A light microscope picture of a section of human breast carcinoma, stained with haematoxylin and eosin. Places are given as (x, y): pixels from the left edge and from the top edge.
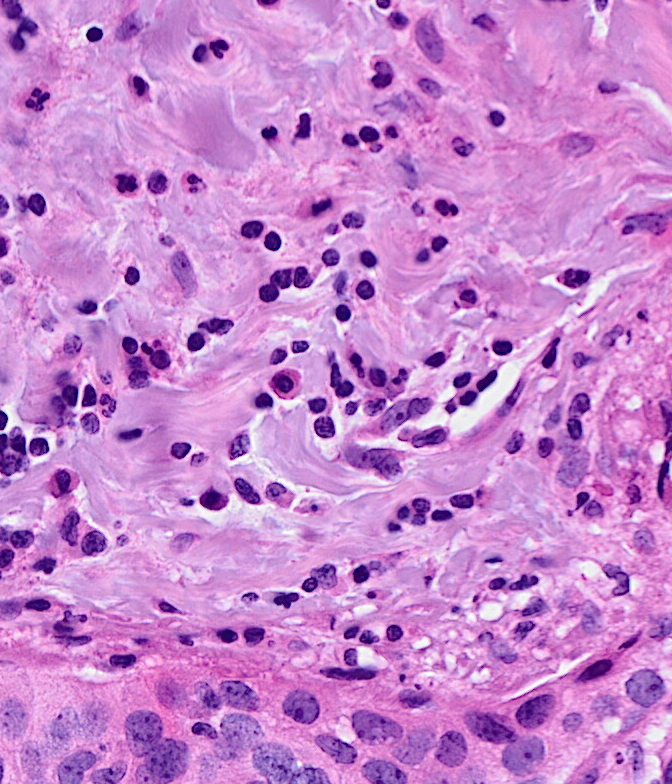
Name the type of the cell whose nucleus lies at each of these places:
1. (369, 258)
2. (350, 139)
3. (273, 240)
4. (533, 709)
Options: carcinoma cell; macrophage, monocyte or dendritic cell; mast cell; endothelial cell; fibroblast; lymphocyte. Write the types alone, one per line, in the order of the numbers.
lymphocyte
lymphocyte
lymphocyte
carcinoma cell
